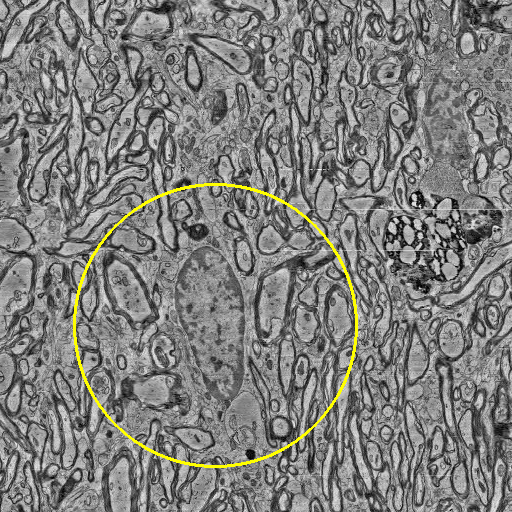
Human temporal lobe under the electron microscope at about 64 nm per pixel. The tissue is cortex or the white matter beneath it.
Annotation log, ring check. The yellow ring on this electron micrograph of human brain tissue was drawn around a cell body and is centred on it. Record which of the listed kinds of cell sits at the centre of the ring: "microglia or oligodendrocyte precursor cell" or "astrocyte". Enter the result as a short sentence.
The cell at the centre of the ring is a microglial cell or oligodendrocyte precursor cell.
